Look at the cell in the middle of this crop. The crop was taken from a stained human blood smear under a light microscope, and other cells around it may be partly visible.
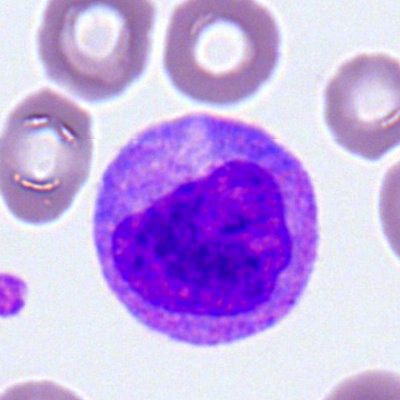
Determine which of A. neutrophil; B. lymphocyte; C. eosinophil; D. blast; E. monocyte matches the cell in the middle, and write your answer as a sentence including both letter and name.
Option E is accurate; the centrally placed cell is a monocyte.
